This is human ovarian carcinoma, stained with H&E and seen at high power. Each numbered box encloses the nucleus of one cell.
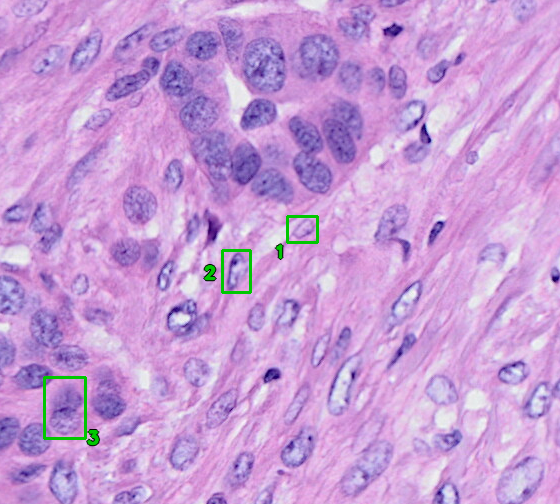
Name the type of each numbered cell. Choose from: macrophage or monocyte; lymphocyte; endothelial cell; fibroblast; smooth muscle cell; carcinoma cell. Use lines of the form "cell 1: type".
cell 1: fibroblast
cell 2: fibroblast
cell 3: carcinoma cell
